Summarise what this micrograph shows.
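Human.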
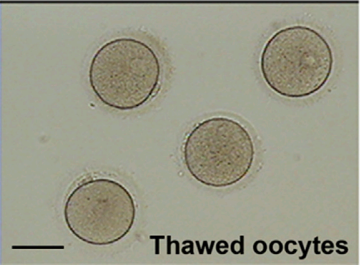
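Four large, separate, round cells lie spread over an empty background, each about the same size. Every one has finely granular, evenly grey-brown cytoplasm with no clear nucleus to be made out, bounded by a dark rim. No fragments or cell divisions are seen.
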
